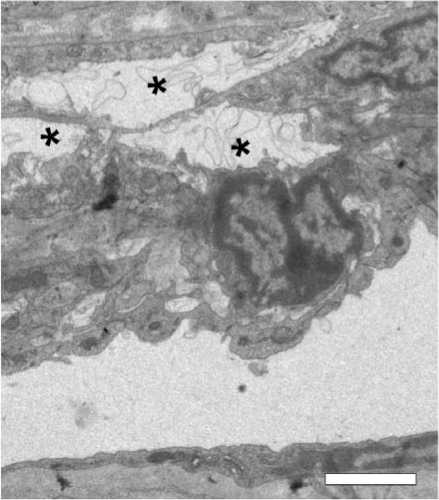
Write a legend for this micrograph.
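Layers of elongated cells with dark, irregularly folded nuclei and grey cytoplasm fill the upper part, separated by pale open gaps that hold fine wavy membranous and fibrillar profiles. A large lobulated nucleus sits in the middle of a cell whose lower surface borders a wide pale empty lumen. The lower edge of the lumen is lined by a thin flat cell layer.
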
